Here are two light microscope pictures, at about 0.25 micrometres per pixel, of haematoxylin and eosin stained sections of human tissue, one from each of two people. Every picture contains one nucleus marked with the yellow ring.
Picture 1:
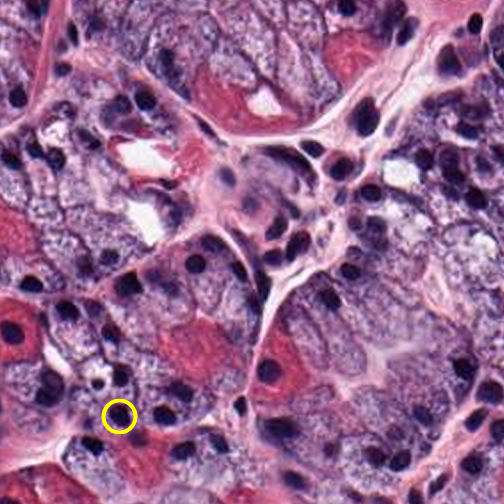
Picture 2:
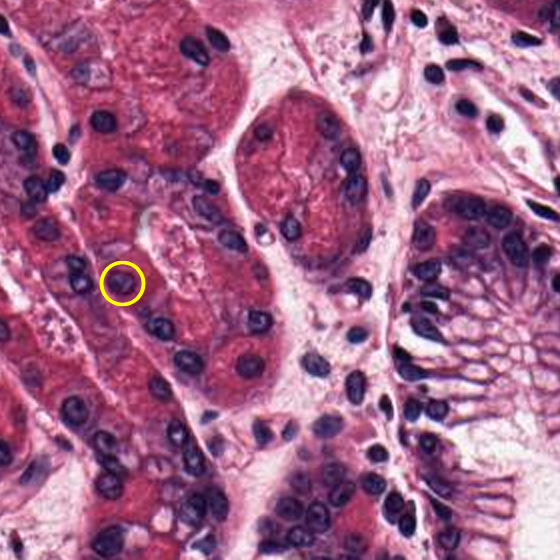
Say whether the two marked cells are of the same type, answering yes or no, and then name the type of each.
No, the first is a chief cell and the second a parietal cell.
